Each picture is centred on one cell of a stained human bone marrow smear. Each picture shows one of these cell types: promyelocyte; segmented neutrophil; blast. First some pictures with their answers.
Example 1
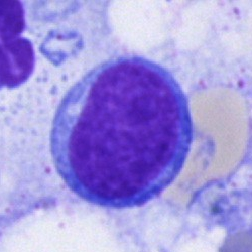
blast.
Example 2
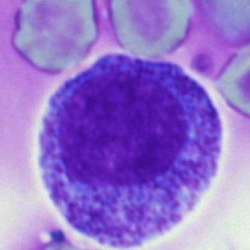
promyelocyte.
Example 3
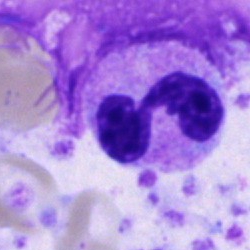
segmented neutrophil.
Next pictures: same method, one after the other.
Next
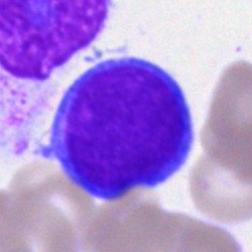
blast.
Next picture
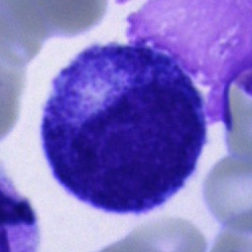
promyelocyte.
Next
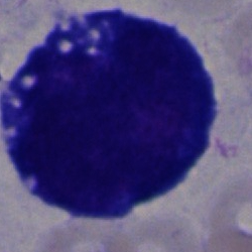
blast.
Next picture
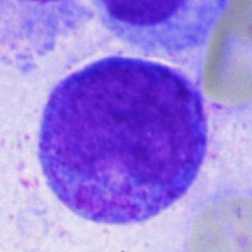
promyelocyte.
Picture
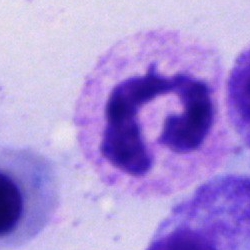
segmented neutrophil.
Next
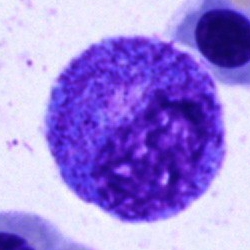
promyelocyte.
